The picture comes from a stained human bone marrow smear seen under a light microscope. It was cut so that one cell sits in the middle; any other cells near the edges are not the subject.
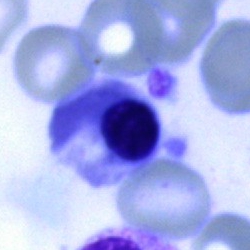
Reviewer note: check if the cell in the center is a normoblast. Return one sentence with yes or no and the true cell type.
Yes, the cell shown centrally is a normoblast.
